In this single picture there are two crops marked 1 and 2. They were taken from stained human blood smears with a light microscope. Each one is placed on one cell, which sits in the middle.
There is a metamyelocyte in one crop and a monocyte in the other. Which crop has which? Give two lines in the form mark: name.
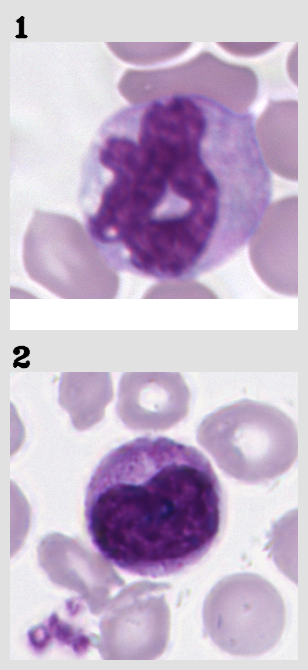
1: monocyte
2: metamyelocyte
